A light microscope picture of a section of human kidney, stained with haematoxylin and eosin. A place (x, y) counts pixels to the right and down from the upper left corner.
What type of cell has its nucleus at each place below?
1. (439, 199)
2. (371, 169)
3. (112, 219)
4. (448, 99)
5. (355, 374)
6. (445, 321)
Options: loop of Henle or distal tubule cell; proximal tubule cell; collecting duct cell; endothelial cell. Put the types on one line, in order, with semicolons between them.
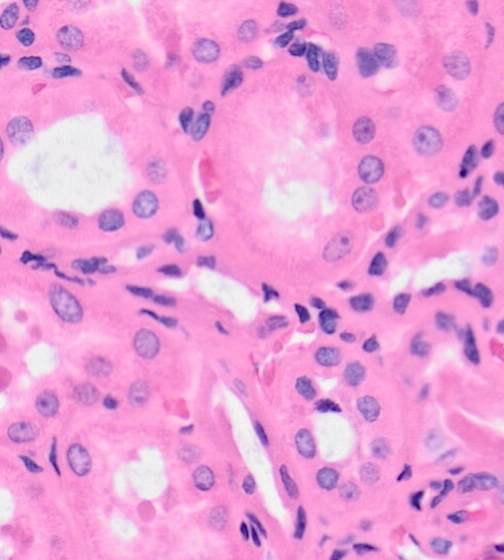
collecting duct cell; proximal tubule cell; loop of Henle or distal tubule cell; proximal tubule cell; loop of Henle or distal tubule cell; collecting duct cell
